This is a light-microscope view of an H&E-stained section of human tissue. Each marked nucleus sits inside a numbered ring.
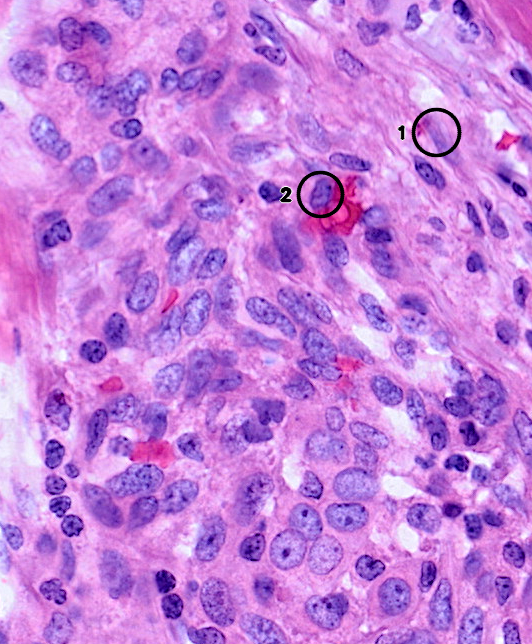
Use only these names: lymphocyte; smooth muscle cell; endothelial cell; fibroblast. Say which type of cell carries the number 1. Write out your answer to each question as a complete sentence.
The correct answer for cell 1 is a fibroblast.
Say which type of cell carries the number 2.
The numeral 2 marks an endothelial cell in this section.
